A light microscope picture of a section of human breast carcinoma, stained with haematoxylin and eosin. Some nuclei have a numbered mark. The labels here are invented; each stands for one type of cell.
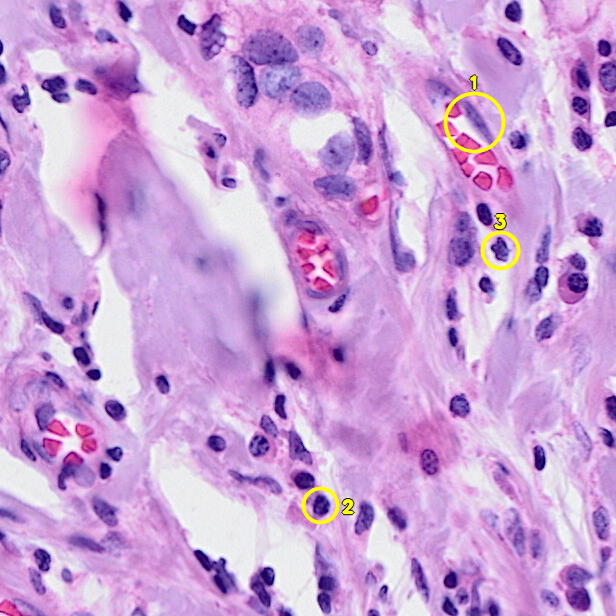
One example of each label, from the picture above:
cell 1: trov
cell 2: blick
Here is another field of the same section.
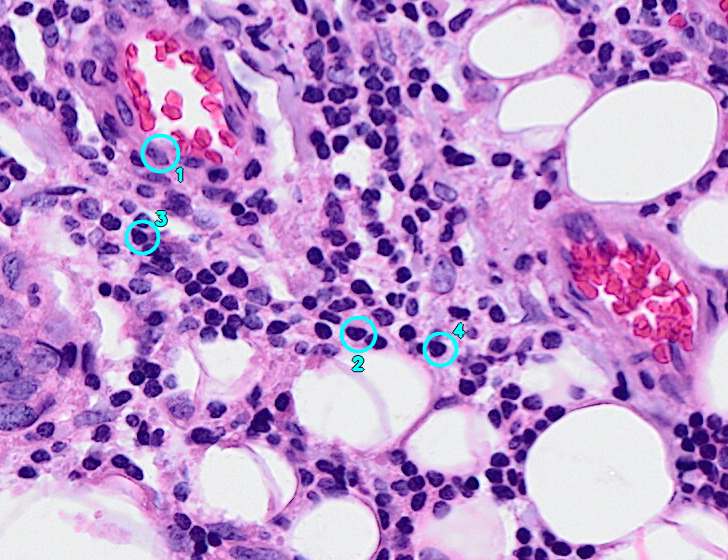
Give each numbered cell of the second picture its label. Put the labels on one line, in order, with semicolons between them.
trov; blick; blick; blick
